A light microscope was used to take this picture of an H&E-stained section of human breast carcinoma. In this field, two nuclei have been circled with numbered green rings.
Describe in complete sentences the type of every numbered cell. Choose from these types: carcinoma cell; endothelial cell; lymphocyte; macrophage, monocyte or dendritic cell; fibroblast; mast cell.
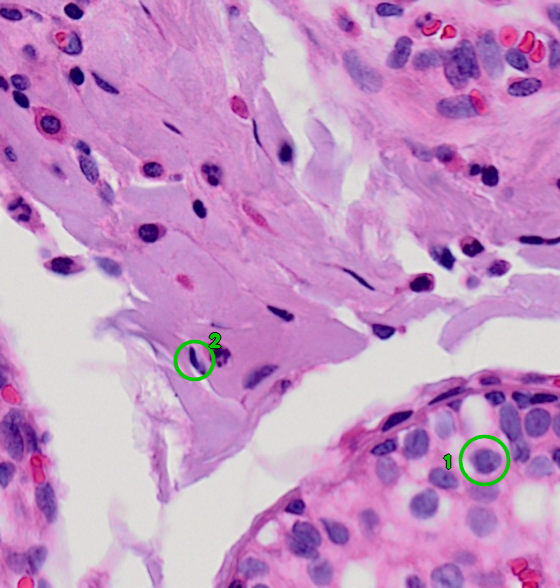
Cell 1 is a carcinoma cell. Cell 2 is a fibroblast.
